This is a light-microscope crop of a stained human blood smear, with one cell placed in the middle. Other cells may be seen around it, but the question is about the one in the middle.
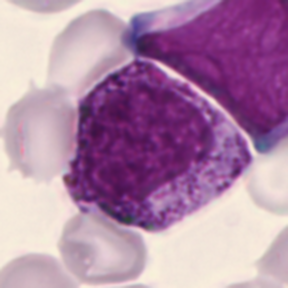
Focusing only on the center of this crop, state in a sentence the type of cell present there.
The cell centered in this field of view is a myelocyte.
